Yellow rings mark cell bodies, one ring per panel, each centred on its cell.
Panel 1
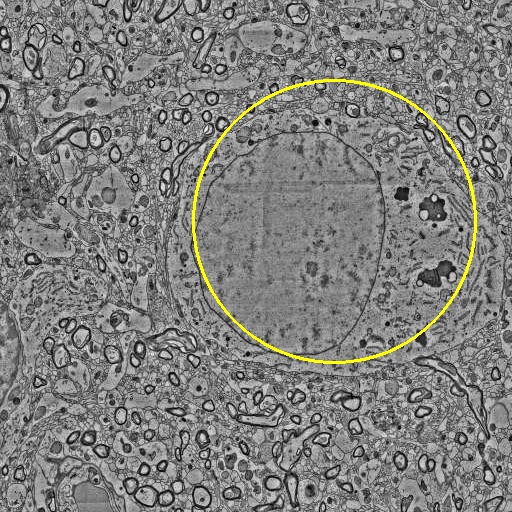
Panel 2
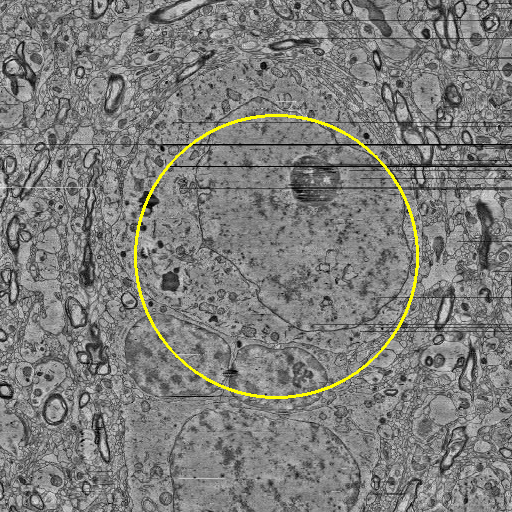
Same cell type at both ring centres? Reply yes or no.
yes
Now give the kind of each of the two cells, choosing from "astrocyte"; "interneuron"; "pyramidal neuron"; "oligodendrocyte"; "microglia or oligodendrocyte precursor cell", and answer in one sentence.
Each cell, in the first picture and the second, is a pyramidal neuron.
